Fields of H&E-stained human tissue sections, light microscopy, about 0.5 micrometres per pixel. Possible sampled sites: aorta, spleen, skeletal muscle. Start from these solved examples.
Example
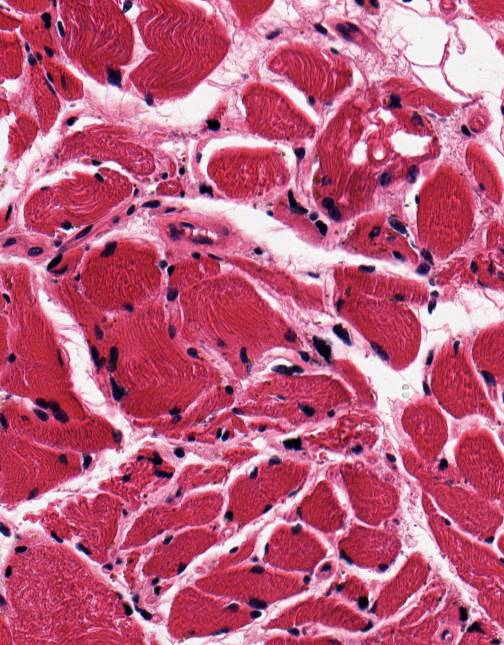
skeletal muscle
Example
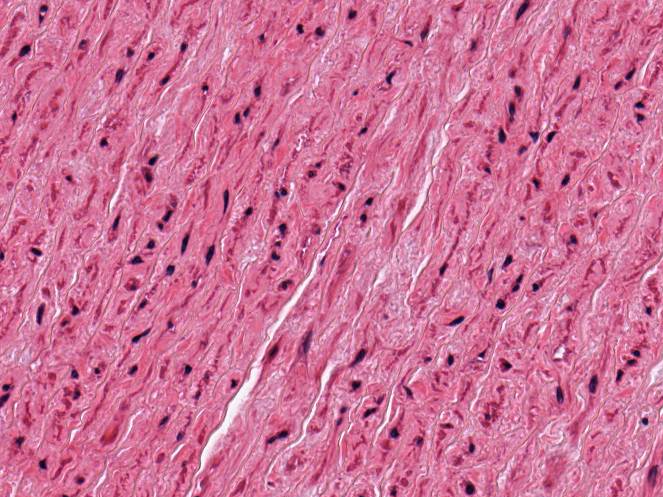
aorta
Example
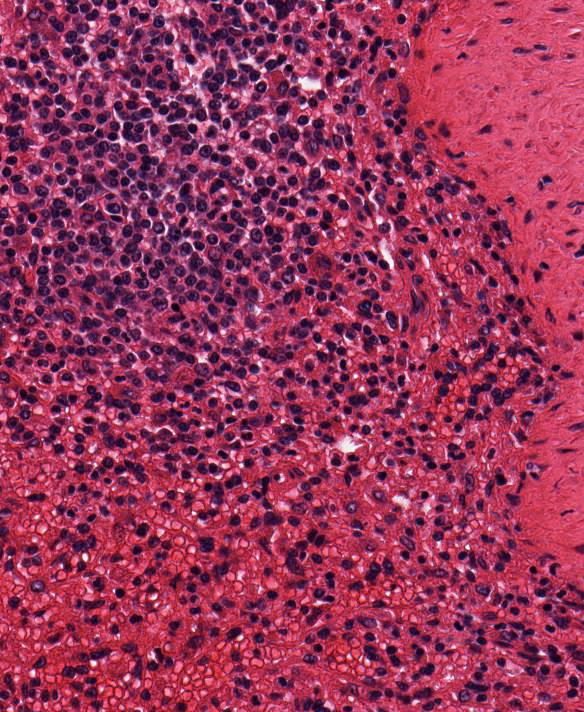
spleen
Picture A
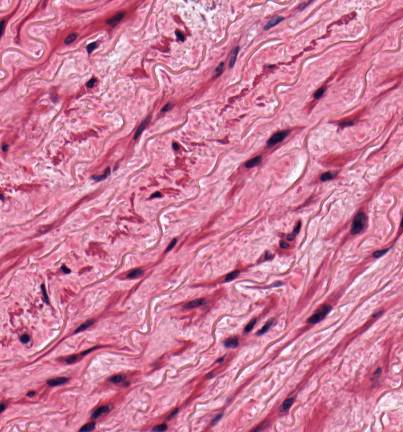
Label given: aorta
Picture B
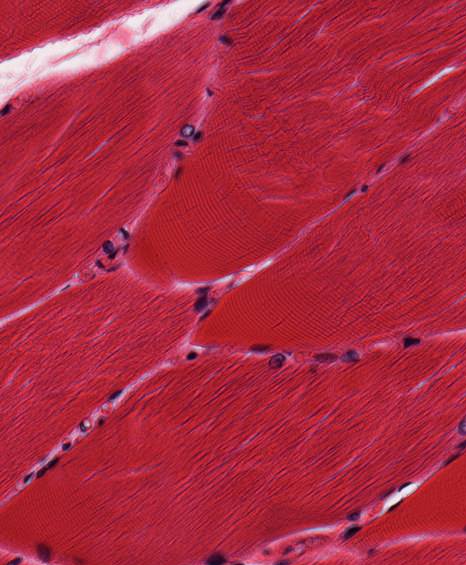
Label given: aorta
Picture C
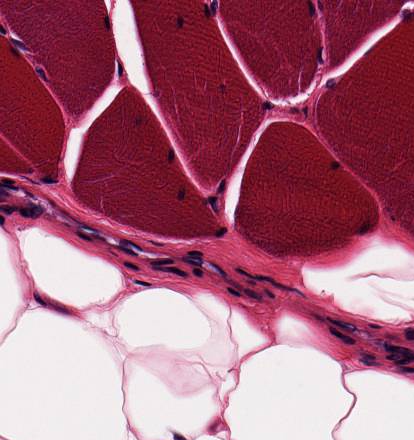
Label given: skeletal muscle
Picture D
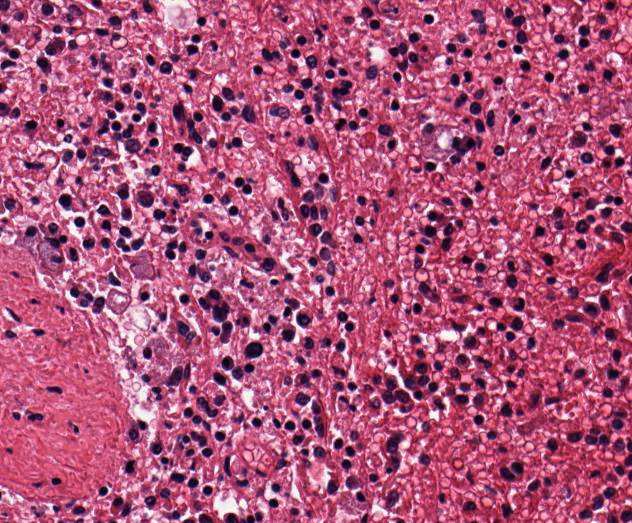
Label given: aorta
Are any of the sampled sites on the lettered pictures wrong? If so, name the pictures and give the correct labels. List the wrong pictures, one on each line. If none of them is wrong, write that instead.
B: change aorta to skeletal muscle
D: change aorta to spleen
